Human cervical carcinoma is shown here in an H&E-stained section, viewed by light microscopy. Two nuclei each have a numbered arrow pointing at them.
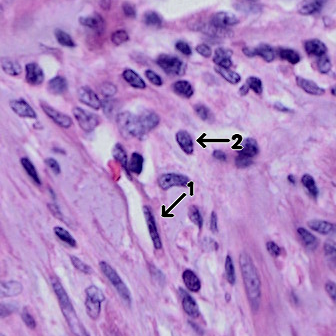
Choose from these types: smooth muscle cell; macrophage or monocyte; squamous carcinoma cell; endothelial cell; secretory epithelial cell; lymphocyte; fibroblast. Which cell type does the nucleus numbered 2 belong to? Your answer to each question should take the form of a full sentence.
The cell referenced by the number 2 is a lymphocyte in this field.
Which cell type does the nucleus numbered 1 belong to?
What the number 1 marks in this field is an endothelial cell.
